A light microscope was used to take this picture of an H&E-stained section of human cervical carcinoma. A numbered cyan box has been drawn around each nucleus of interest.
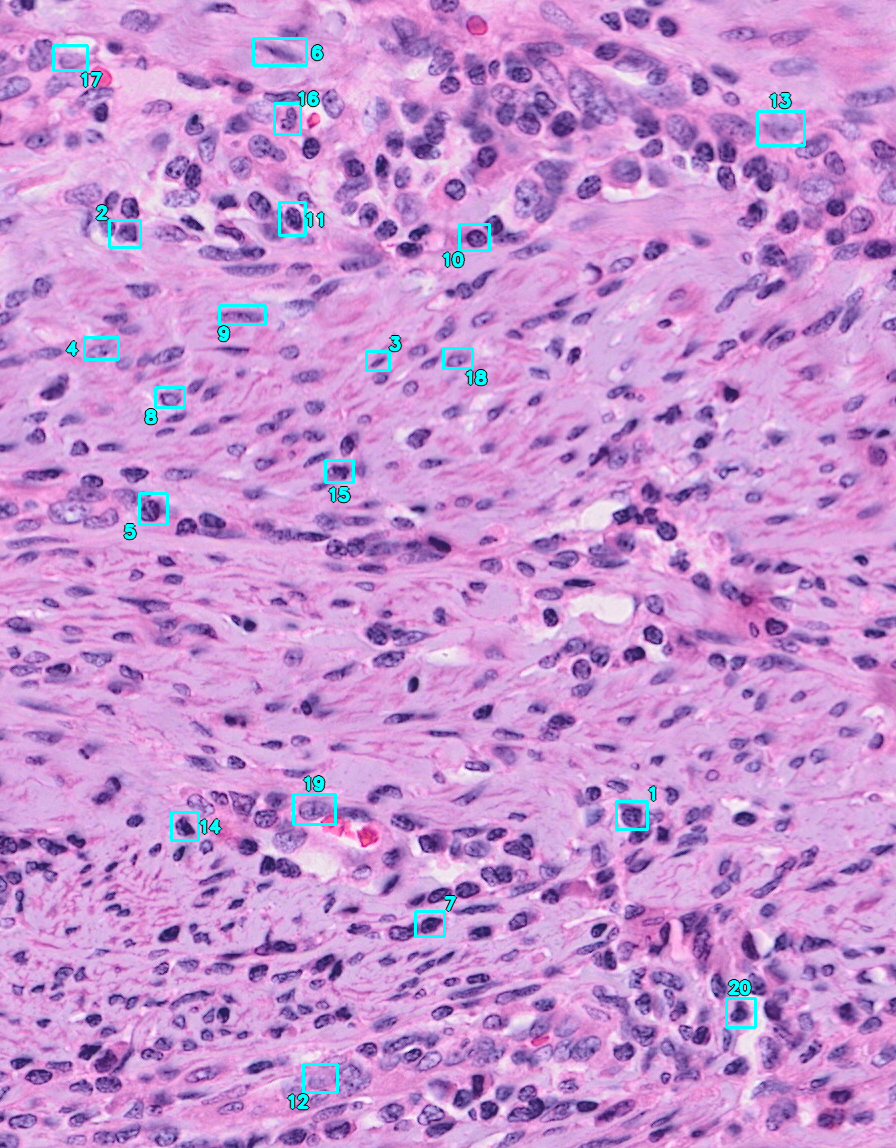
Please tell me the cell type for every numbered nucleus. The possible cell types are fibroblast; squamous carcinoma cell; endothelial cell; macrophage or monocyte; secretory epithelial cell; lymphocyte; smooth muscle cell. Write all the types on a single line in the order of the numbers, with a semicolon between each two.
lymphocyte; lymphocyte; smooth muscle cell; smooth muscle cell; lymphocyte; fibroblast; lymphocyte; smooth muscle cell; smooth muscle cell; lymphocyte; lymphocyte; endothelial cell; endothelial cell; lymphocyte; lymphocyte; endothelial cell; endothelial cell; smooth muscle cell; endothelial cell; lymphocyte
